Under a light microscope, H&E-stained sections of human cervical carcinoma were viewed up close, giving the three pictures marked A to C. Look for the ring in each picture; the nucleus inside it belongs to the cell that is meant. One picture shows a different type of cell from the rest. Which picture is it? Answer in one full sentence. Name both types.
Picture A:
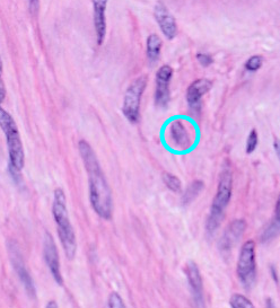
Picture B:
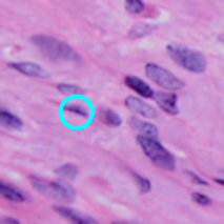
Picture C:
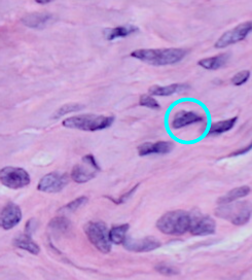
All pictures except A show fibroblasts; picture A shows a smooth muscle cell.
